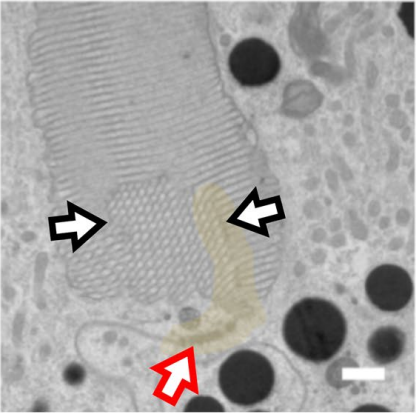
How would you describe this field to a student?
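This electron micrograph shows a single rhabdomere of a photoreceptor, with parallel microvilli above and a cross-cut honeycomb of microvilli below. Round, very dark granules and small organelles fill the surrounding cytoplasm.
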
